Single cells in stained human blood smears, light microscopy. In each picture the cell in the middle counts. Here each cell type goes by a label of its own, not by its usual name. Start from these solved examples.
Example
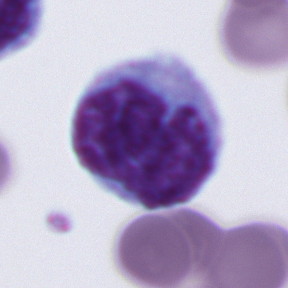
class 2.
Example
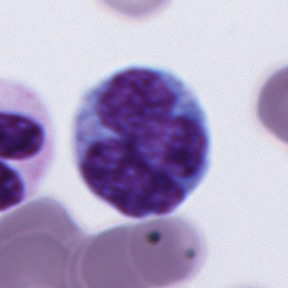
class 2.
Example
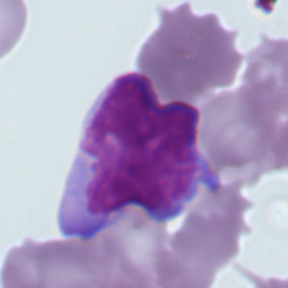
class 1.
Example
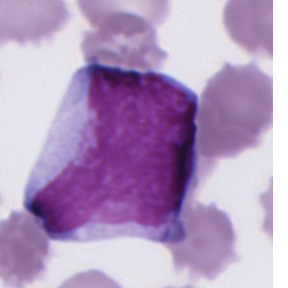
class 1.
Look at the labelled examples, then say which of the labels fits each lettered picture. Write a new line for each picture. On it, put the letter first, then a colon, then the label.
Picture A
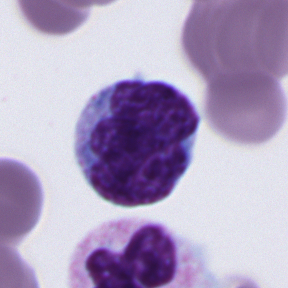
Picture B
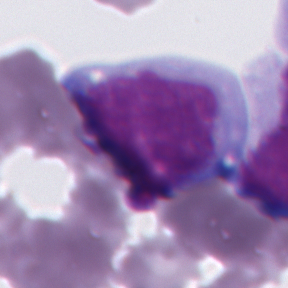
A: class 2.
B: class 1.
